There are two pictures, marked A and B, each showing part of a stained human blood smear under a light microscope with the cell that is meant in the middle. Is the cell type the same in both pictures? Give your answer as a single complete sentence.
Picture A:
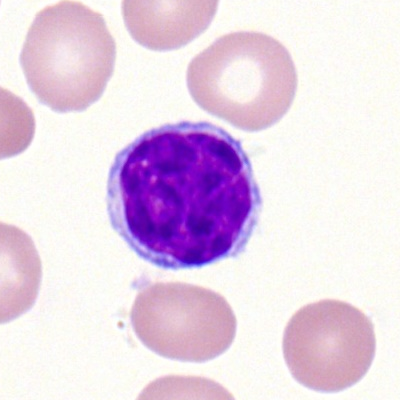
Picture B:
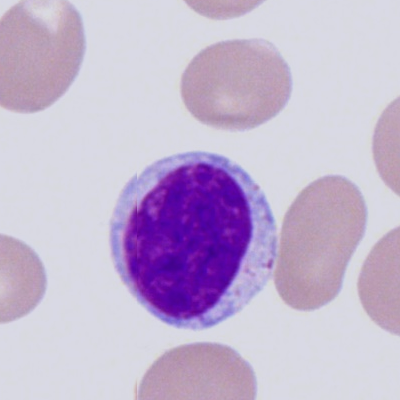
Yes, they are the same type: both are lymphocytes.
